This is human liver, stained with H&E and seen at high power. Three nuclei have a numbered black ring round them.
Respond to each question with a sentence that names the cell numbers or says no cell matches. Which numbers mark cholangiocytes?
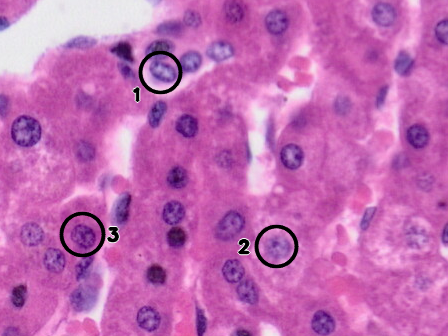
Across all the numbered cells, only number 1 is a cholangiocyte.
